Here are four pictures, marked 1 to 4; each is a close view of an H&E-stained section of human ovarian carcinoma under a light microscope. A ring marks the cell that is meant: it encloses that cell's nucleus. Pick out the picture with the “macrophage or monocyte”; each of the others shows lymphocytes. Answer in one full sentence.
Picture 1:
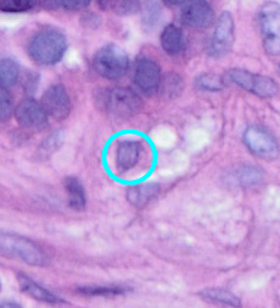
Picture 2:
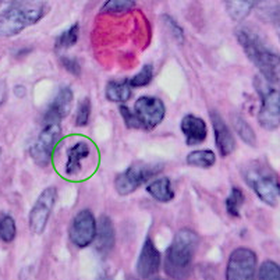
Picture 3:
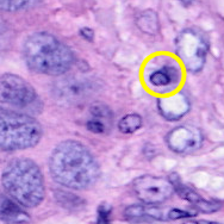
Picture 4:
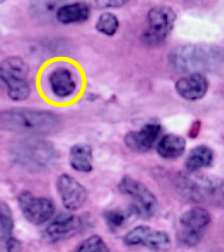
It is picture 1 that shows the “macrophage or monocyte”.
